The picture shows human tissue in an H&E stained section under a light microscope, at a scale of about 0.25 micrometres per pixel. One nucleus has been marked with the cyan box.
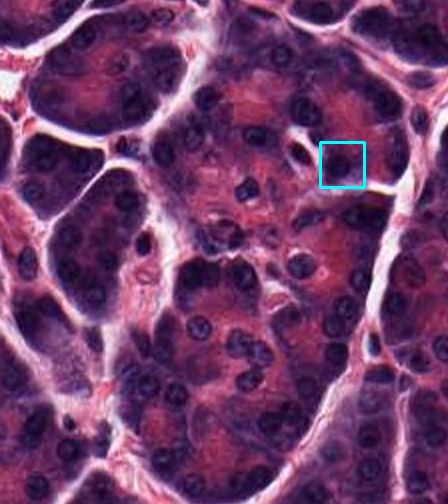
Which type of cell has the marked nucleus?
pancreatic acinar cell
